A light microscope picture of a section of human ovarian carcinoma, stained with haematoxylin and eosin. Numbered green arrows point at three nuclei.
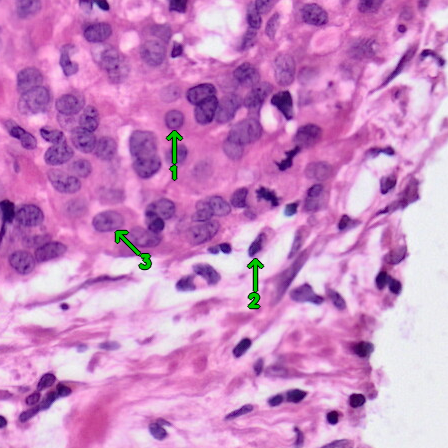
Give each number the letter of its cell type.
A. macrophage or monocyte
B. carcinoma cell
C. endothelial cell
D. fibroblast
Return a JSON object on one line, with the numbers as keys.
{"1": "B", "2": "A", "3": "A"}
